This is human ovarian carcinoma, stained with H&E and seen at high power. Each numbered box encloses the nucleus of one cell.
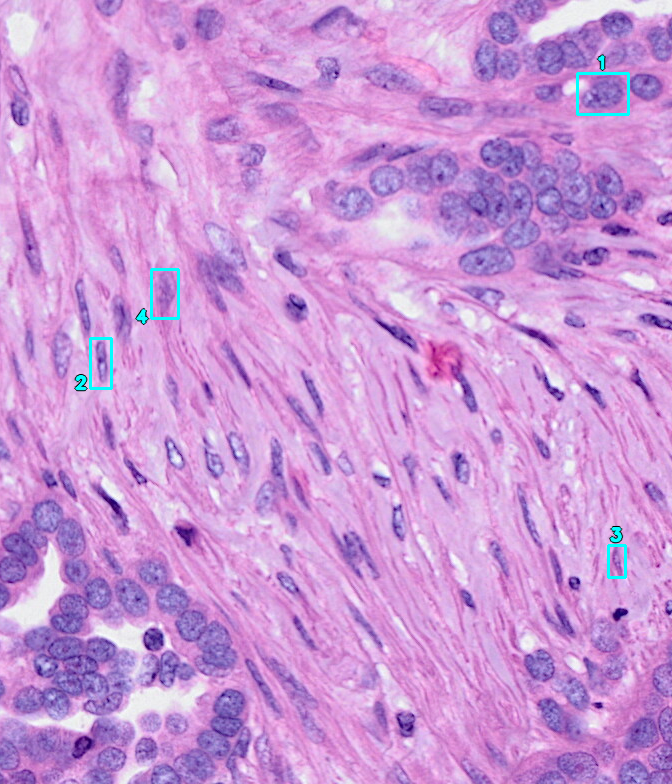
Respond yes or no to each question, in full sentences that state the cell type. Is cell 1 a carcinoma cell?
Yes, the cell tagged with number 1 is a carcinoma cell.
